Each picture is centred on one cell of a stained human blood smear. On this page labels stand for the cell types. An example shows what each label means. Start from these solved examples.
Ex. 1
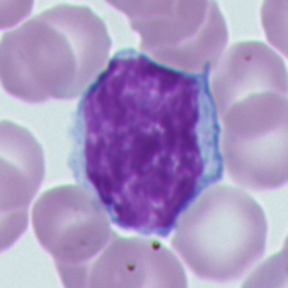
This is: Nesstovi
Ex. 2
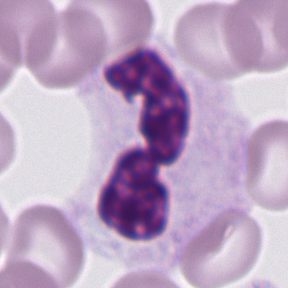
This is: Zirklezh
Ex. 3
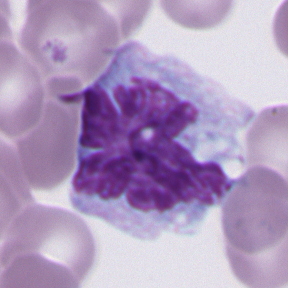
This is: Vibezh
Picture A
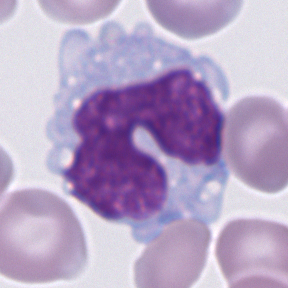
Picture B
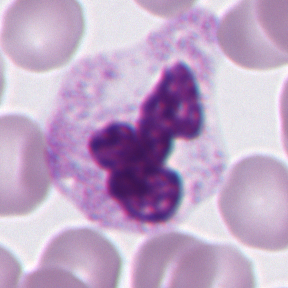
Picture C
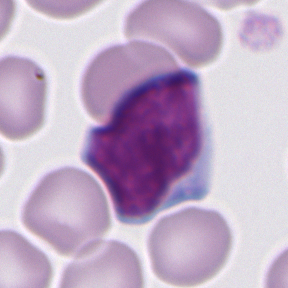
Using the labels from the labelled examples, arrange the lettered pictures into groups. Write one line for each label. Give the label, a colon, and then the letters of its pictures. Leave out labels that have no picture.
Nesstovi: C
Zirklezh: B
Vibezh: A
